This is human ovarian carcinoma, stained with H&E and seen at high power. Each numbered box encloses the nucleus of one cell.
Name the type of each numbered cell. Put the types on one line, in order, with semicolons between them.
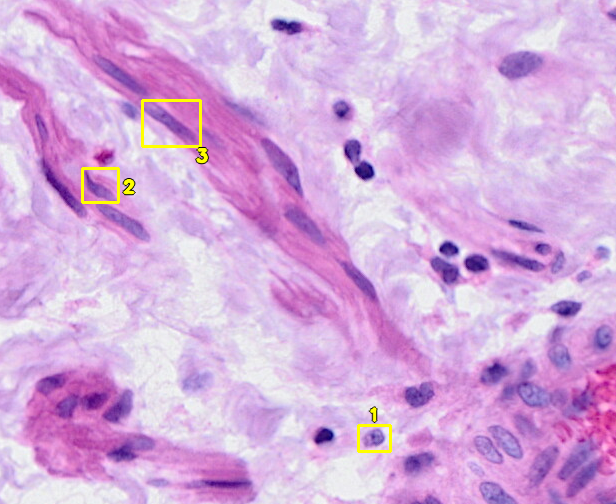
lymphocyte; smooth muscle cell; smooth muscle cell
